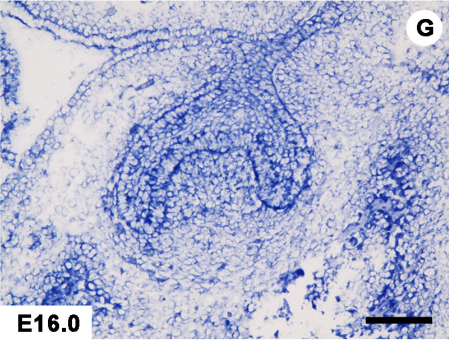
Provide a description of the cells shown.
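Here the tooth germ has taken a cap shape: the enamel organ hangs from a narrow epithelial stalk connected to the oral epithelium above and curves down on either side like an inverted cup. A thin, darker-lined epithelial layer traces the cap's outer and inner surfaces, and within the concavity beneath sits the dental papilla, a cluster of condensed, closely packed mesenchymal cells. Looser mesenchyme surrounds the whole germ. Blue-purple staining outlines cells in both the enamel organ and the papilla, with denser staining along the epithelial rims and in some surrounding tissue at the lower edges.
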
